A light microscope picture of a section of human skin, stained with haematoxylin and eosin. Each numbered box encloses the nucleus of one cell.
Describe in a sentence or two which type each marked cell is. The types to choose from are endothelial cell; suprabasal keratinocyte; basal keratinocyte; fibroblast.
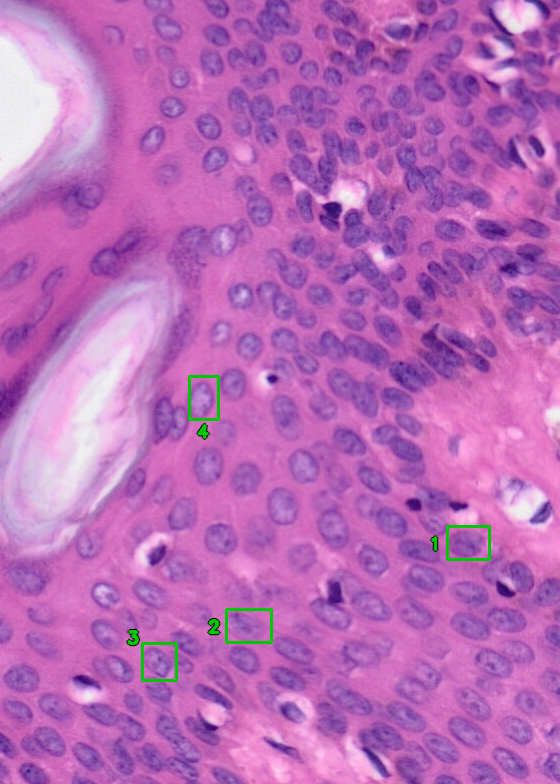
Cell 1 is a basal keratinocyte, cell 2 is a suprabasal keratinocyte, cell 3 is a suprabasal keratinocyte and cell 4 is a suprabasal keratinocyte.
